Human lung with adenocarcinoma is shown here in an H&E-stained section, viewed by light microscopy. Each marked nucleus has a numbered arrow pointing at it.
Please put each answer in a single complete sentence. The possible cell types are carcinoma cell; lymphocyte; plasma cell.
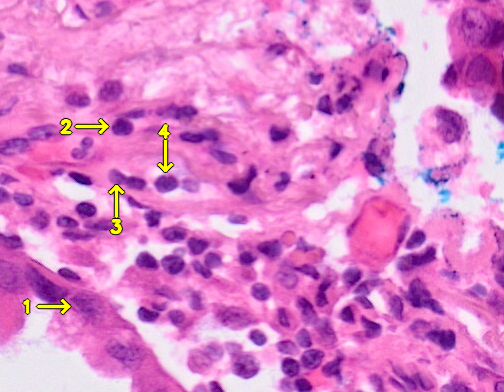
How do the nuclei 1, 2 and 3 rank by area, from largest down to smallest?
Going from the biggest nucleus down to the smallest gives 1, 2, 3.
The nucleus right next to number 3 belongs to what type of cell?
The cell nearest to number 3 is a lymphocyte.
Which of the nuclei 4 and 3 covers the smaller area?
Number 3 is smaller, since number 4 takes up about 2 times as much area.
